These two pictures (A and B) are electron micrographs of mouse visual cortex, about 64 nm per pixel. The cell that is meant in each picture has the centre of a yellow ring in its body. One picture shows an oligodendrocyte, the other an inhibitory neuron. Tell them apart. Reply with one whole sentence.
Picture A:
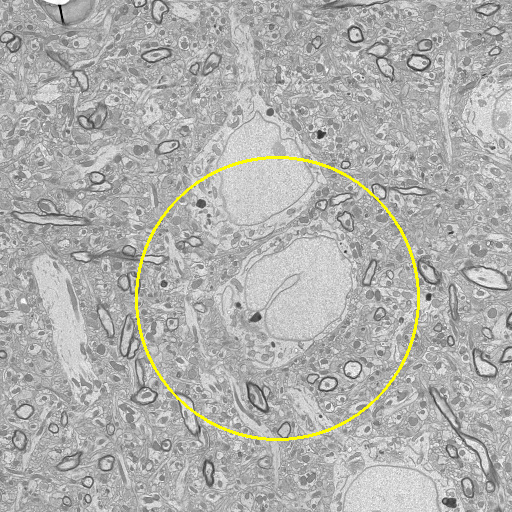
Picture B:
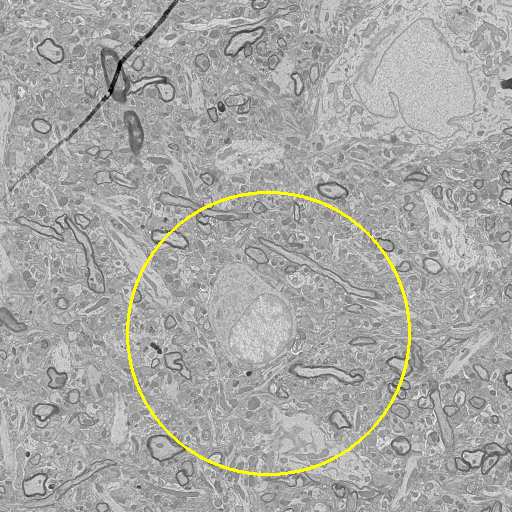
It is picture A that shows an inhibitory neuron, and picture B that shows an oligodendrocyte.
